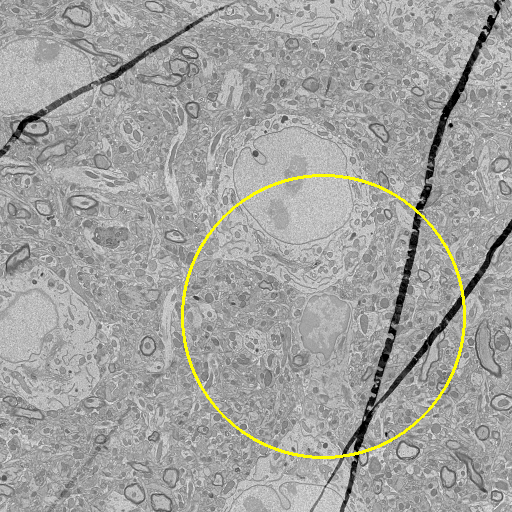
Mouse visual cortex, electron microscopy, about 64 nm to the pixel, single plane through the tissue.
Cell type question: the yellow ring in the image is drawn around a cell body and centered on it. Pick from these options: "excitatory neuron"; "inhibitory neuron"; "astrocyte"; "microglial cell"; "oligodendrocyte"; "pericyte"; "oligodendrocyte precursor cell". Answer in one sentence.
The ringed cell at the center is a microglial cell.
